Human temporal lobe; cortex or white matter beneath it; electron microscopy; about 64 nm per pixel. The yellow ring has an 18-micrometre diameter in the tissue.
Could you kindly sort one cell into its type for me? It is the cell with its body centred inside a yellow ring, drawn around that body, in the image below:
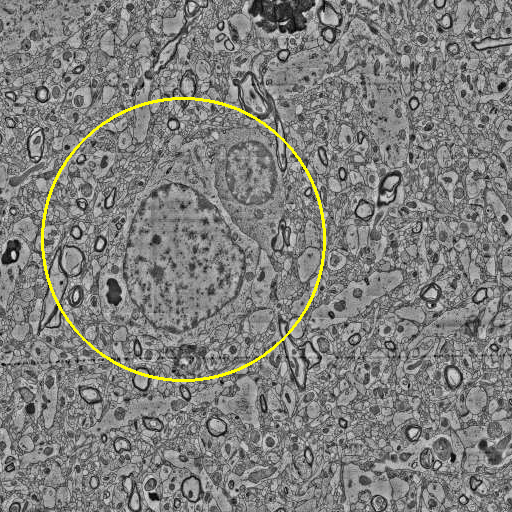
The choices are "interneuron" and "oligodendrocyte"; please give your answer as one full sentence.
The cell whose body lies centred in the yellow ring here is an interneuron.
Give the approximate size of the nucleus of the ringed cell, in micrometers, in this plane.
The nucleus has a long axis of about 9 micrometres and a short axis of about 8 micrometres in this plane.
